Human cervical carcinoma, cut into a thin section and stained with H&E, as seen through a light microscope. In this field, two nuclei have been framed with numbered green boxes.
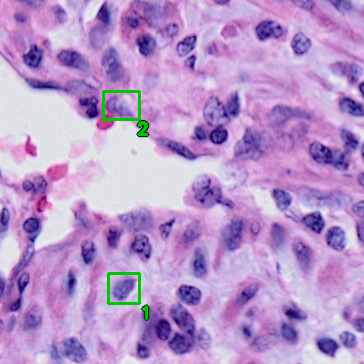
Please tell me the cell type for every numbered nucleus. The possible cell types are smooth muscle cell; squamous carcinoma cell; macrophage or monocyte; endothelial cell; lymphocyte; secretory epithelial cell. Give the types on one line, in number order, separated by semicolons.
lymphocyte; endothelial cell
